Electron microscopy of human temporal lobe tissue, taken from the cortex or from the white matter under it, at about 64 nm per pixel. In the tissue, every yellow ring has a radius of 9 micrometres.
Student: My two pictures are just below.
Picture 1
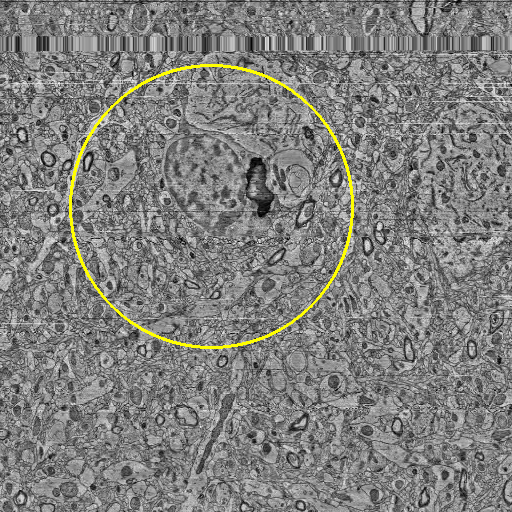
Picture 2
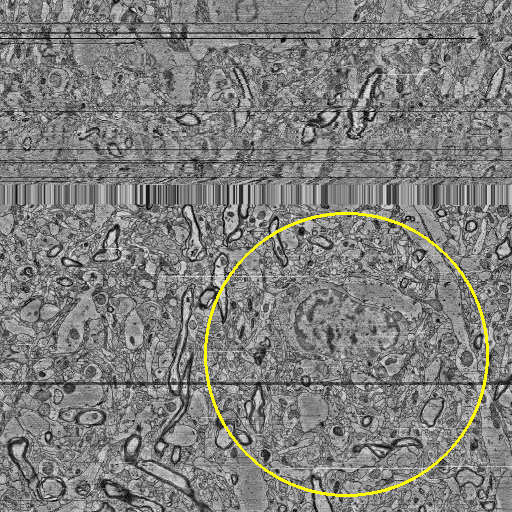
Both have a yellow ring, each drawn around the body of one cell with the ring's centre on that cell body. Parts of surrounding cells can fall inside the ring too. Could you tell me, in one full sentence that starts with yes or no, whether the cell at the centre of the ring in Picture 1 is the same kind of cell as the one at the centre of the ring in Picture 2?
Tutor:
Yes, the two cells are of the same kind.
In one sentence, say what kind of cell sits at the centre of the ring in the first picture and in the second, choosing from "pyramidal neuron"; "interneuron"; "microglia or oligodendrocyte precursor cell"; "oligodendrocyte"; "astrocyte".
Each of the two cells is an oligodendrocyte.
